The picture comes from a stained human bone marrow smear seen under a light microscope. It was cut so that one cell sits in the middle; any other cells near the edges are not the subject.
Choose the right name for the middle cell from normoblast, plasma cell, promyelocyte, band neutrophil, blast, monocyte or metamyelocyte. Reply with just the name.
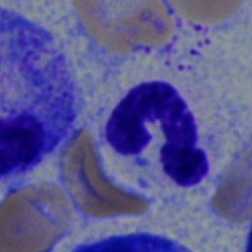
band neutrophil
